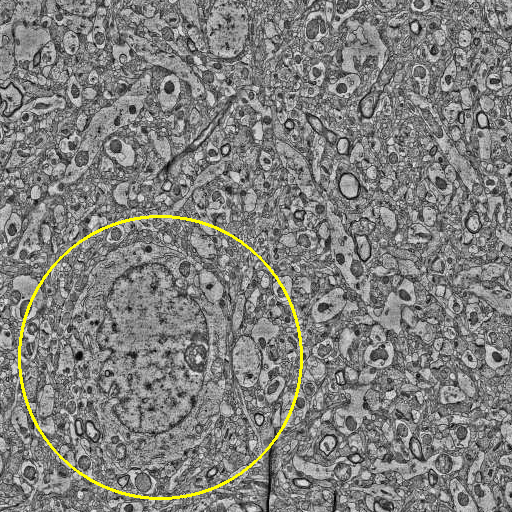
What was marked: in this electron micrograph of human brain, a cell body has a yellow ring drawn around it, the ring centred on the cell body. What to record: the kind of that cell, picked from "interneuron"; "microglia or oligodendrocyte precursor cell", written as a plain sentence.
The centred cell is an interneuron.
